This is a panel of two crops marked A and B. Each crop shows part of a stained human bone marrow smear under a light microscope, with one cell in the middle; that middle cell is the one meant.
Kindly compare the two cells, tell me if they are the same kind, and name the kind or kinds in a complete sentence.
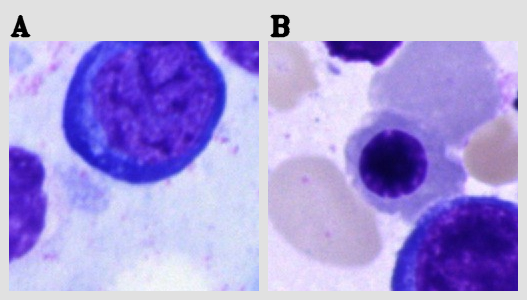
Yes, it is erythroblasts that occupy the middle of both crops.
